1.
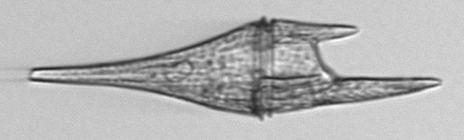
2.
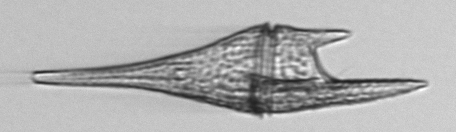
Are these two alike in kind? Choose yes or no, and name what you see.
Yes. Tripos.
